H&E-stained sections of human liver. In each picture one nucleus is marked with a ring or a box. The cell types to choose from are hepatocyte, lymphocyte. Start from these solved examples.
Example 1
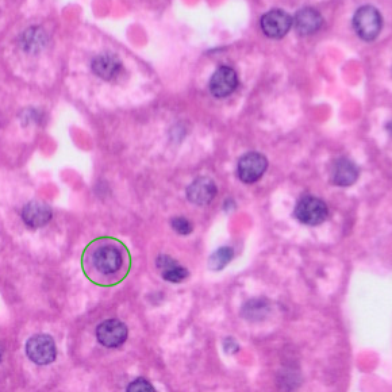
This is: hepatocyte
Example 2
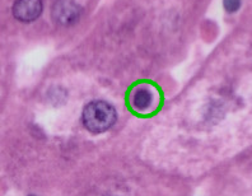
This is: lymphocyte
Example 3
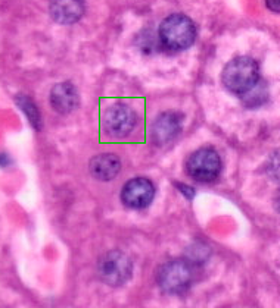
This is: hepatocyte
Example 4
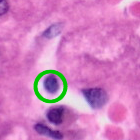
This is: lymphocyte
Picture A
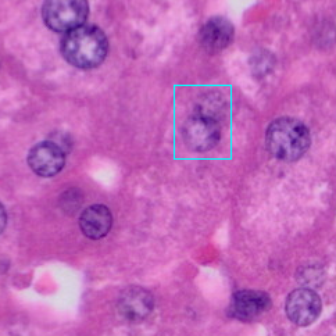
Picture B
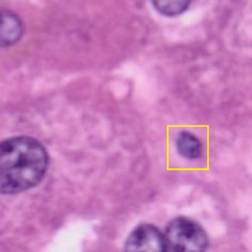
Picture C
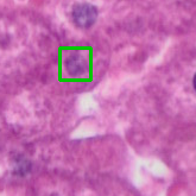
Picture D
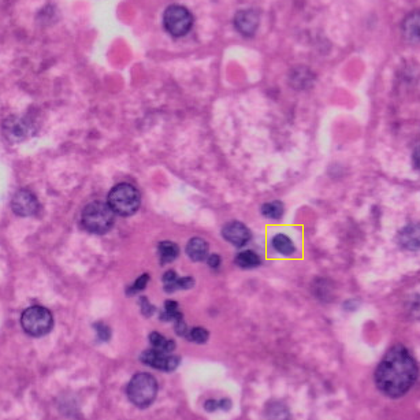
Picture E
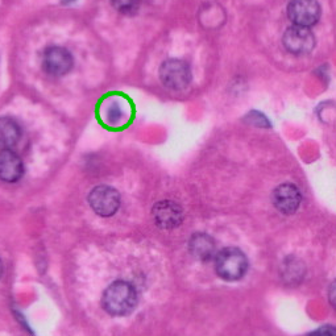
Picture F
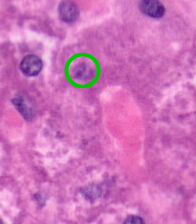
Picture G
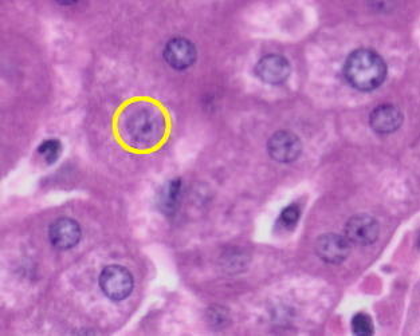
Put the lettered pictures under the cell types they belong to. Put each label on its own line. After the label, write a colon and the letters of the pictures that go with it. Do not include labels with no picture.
hepatocyte: A, C, F, G
lymphocyte: B, D, E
